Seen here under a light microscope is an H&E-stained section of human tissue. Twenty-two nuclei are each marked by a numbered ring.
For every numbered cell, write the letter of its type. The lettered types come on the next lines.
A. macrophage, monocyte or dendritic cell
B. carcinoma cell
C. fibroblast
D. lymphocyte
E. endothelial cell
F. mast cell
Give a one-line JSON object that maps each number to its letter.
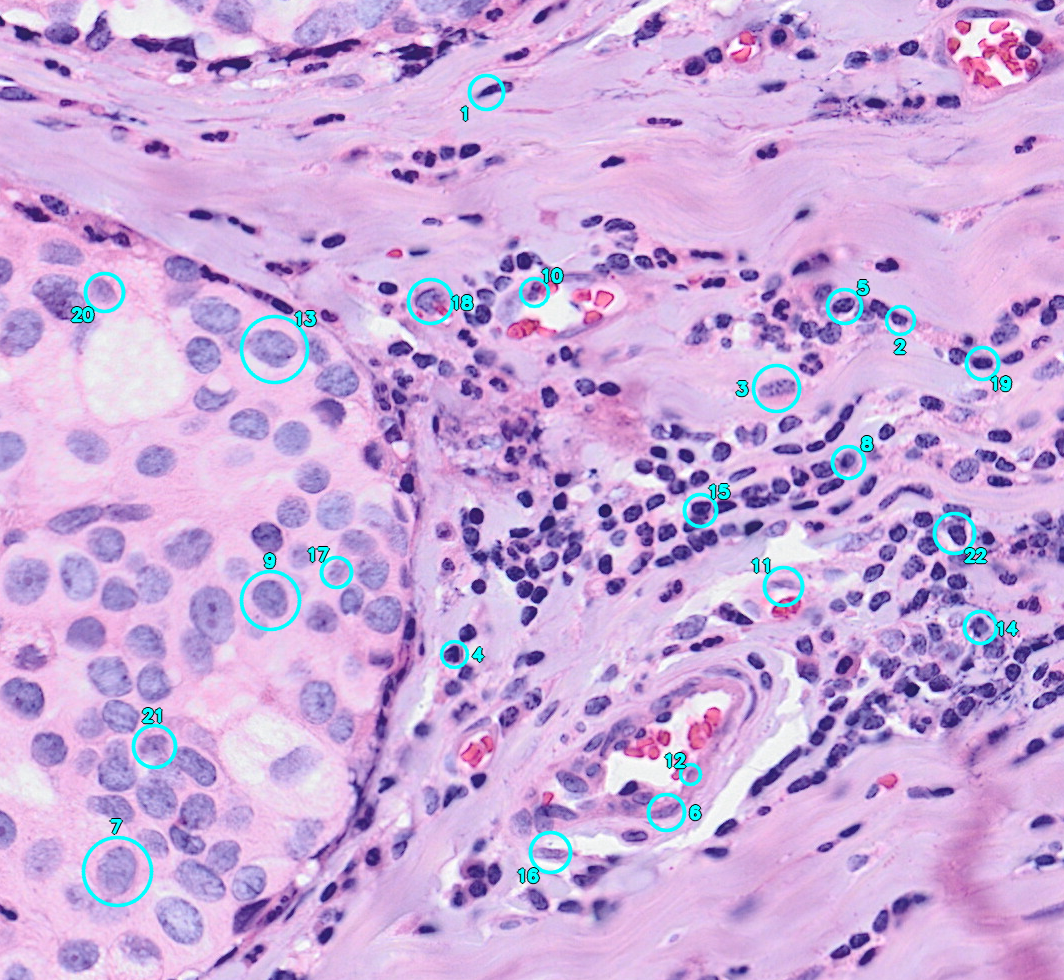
{"1": "D", "2": "D", "3": "F", "4": "D", "5": "D", "6": "E", "7": "B", "8": "D", "9": "B", "10": "E", "11": "E", "12": "E", "13": "B", "14": "D", "15": "D", "16": "C", "17": "B", "18": "E", "19": "D", "20": "B", "21": "B", "22": "D"}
